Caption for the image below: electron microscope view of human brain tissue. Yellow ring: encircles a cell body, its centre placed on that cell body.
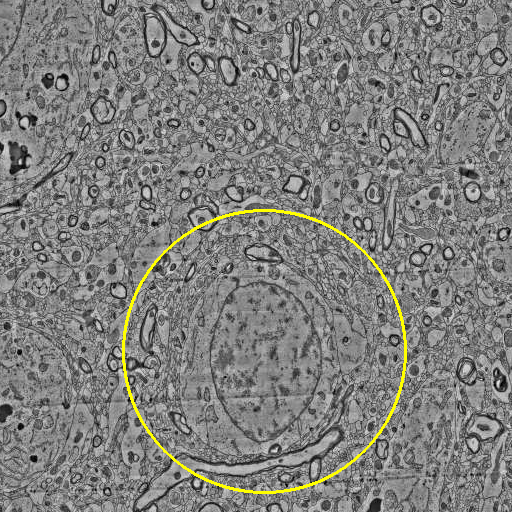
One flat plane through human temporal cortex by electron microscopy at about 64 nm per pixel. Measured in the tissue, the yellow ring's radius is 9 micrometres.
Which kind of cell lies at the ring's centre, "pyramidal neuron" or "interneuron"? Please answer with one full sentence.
The picture shows a pyramidal neuron at the centre of the yellow ring.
